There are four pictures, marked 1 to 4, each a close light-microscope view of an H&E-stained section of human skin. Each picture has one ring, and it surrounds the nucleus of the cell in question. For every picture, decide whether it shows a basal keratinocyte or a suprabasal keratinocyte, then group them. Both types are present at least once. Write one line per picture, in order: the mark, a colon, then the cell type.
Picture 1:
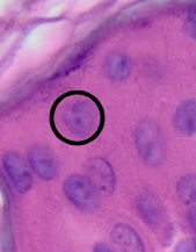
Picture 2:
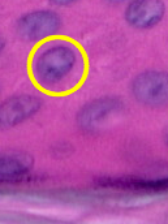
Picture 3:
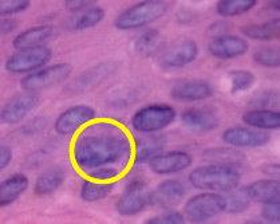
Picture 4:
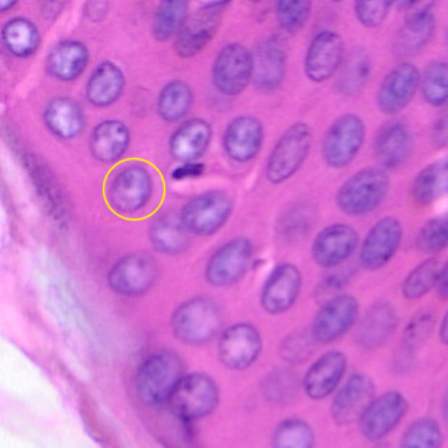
1: suprabasal keratinocyte
2: suprabasal keratinocyte
3: basal keratinocyte
4: suprabasal keratinocyte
